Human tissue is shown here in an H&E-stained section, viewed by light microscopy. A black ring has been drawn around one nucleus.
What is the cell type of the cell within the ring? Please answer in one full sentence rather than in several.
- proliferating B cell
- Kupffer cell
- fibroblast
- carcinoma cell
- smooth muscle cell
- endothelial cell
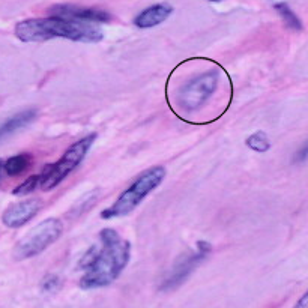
On this particular slide, the cell within the ring is an endothelial cell.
